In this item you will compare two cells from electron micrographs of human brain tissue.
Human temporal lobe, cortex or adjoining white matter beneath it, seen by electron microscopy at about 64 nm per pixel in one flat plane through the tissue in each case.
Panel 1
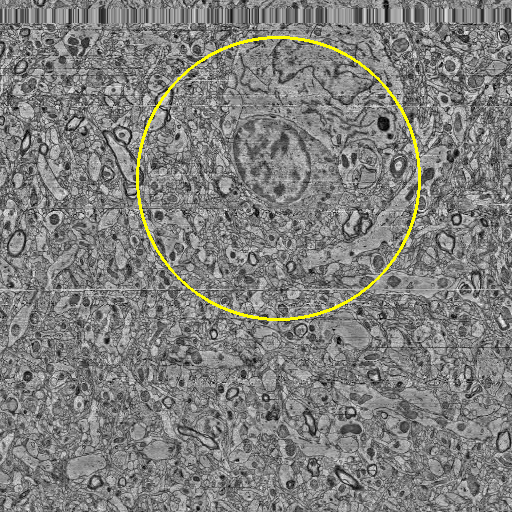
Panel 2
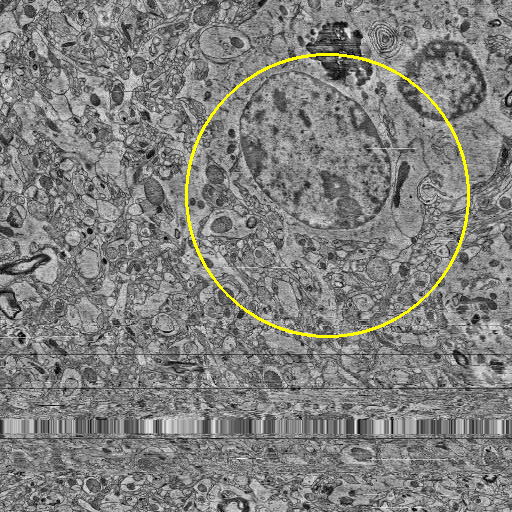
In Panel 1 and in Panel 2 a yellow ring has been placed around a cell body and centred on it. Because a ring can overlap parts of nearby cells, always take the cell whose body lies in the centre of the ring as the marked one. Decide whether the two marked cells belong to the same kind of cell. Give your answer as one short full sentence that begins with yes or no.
No, the two marked cells belong to two kinds of cell.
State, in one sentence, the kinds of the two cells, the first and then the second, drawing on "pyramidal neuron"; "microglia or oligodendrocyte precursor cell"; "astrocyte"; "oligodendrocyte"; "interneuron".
The ring in the second picture is centred on an astrocyte, the ring in the first on an oligodendrocyte.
